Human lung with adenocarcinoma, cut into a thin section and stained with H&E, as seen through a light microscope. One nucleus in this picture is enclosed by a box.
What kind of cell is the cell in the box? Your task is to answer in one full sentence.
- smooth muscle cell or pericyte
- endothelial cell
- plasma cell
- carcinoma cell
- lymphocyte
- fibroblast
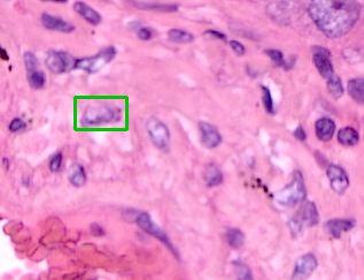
The classification of the cell in the box is as a fibroblast.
